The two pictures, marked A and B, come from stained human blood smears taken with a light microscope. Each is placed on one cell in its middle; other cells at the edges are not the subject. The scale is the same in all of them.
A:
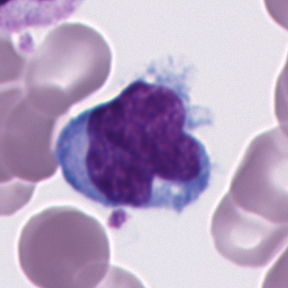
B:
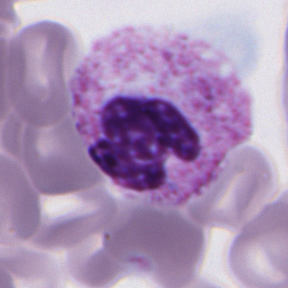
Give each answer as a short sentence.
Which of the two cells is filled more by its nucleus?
Of the two, the nucleus in crop A makes up the greater part of its cell.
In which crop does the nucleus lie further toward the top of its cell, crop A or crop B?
In crop A the nucleus is shifted more toward the top.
